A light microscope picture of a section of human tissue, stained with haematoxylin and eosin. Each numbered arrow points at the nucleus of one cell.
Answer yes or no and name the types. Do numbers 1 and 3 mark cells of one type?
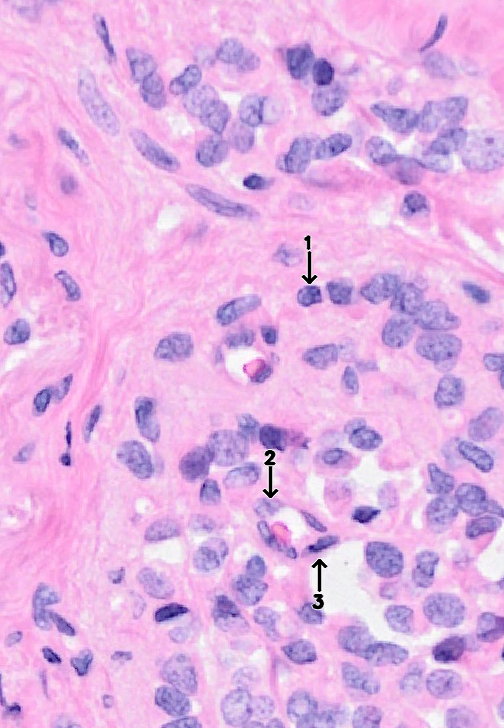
No, cell 1 is a lymphocyte, with cell 3 being an endothelial cell.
